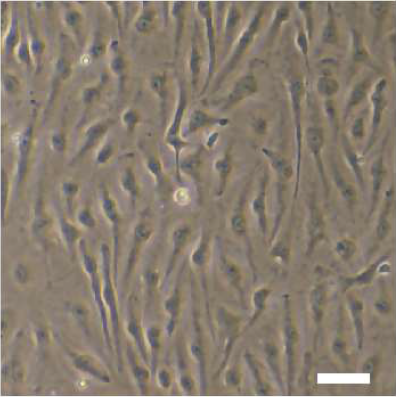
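A confluent layer of cultured cells is seen in phase contrast, with dark oval nuclei in the middle of each cell. Most cells are drawn out into long spindle shapes with tapered ends, and many lie side by side in roughly the same direction, forming streams. A few small, round, phase-bright cells sit scattered on top of the layer.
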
